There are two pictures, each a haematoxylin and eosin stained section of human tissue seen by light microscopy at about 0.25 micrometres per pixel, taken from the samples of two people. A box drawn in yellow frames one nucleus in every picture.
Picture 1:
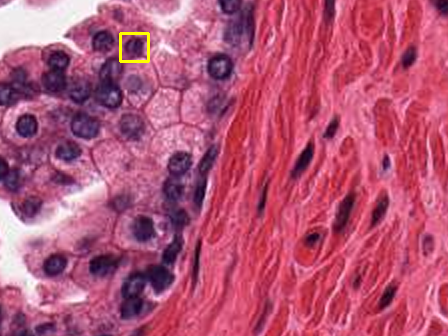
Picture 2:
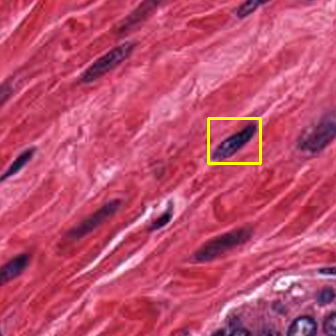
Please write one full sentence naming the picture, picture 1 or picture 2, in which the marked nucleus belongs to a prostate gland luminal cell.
It is the marked nucleus of picture 1 that belongs to a prostate gland luminal cell.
